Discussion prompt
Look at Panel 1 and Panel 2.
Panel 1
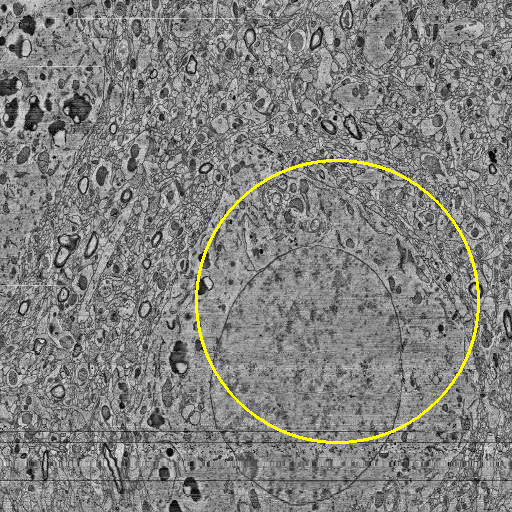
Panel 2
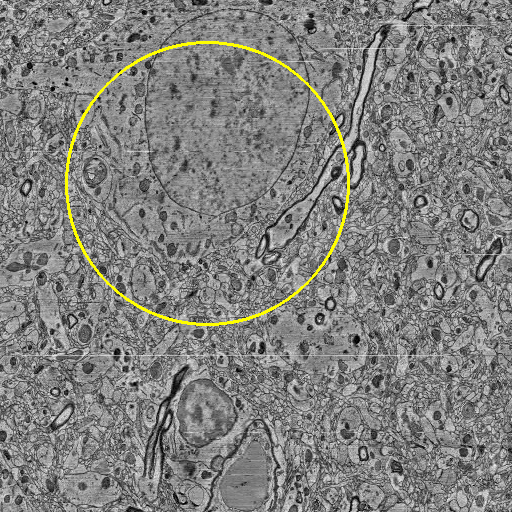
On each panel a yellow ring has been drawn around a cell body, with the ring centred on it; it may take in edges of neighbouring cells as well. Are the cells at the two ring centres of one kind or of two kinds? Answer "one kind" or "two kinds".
one kind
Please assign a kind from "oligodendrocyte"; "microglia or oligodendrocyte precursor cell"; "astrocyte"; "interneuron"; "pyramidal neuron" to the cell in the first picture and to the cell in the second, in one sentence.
The cell in the first picture is a pyramidal neuron, and so is the one in the second.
